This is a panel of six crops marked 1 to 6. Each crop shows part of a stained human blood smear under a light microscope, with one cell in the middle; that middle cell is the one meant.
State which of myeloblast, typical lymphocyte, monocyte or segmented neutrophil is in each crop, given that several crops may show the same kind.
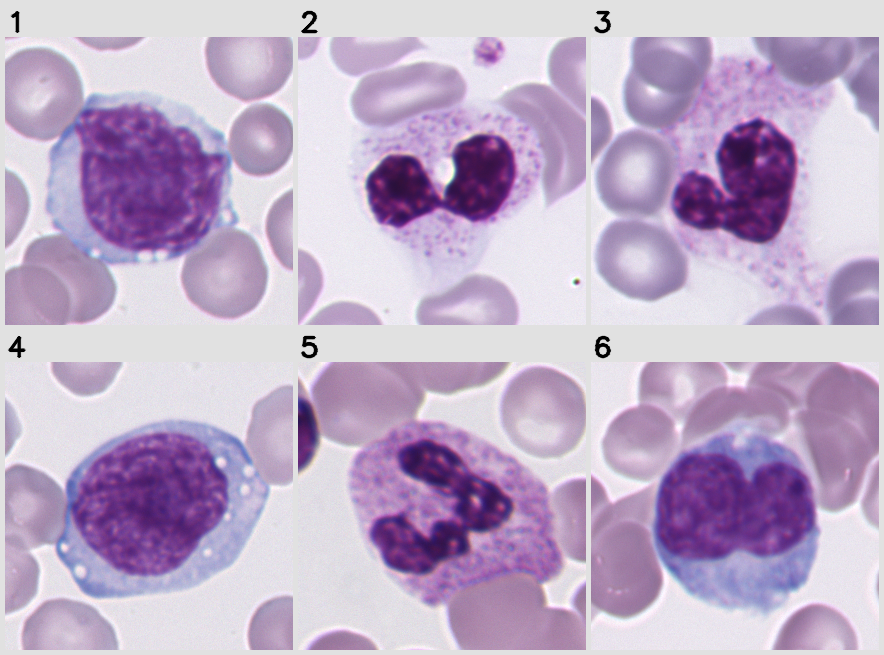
1: myeloblast
2: segmented neutrophil
3: segmented neutrophil
4: myeloblast
5: segmented neutrophil
6: monocyte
